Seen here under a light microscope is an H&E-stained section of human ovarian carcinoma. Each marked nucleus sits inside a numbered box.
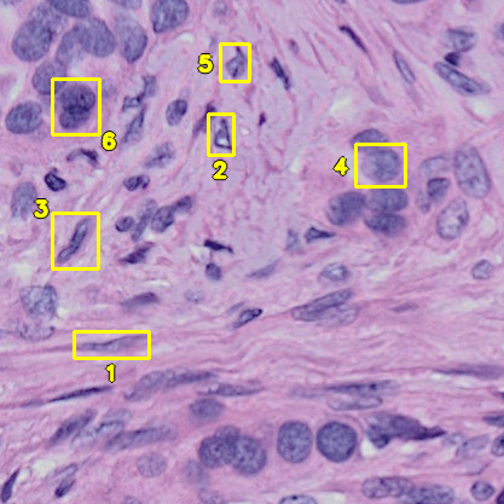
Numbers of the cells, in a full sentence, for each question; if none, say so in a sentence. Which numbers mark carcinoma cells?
In this section, the cells numbered 4 and 6 are carcinoma cells.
